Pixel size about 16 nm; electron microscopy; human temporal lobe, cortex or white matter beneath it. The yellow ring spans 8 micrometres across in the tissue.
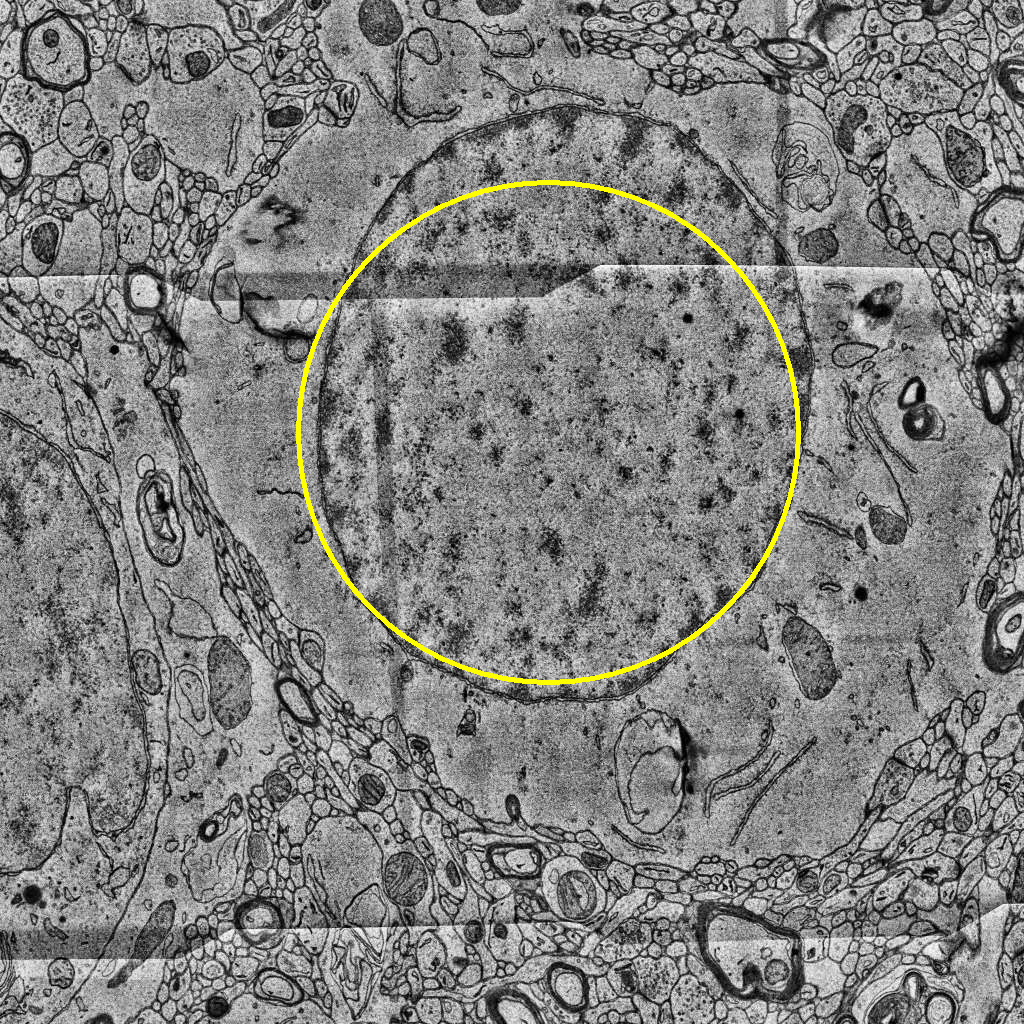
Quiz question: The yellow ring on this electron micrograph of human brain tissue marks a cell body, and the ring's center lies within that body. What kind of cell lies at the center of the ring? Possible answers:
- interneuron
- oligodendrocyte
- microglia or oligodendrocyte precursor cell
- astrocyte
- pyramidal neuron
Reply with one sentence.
The ring's center lies on an astrocyte.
